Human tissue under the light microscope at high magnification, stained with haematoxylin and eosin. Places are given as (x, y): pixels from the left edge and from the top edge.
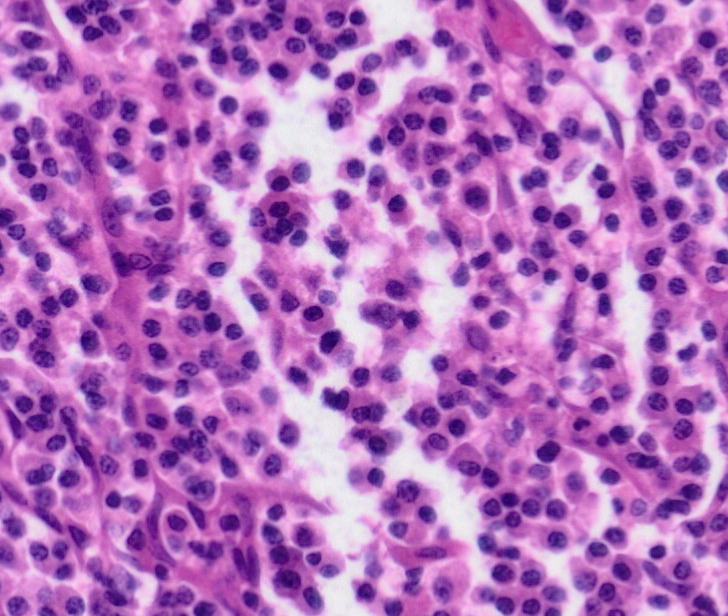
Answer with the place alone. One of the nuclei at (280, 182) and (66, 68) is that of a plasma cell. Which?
(280, 182)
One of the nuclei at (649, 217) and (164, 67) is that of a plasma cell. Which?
(649, 217)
